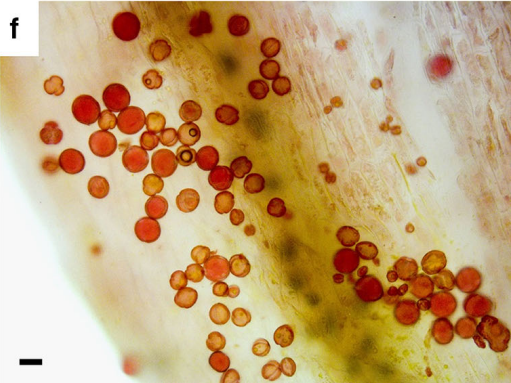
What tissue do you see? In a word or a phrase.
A: anthers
